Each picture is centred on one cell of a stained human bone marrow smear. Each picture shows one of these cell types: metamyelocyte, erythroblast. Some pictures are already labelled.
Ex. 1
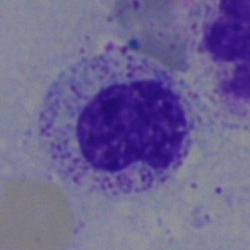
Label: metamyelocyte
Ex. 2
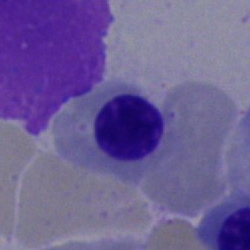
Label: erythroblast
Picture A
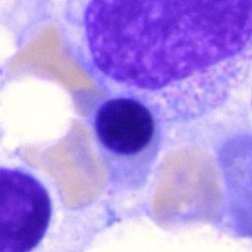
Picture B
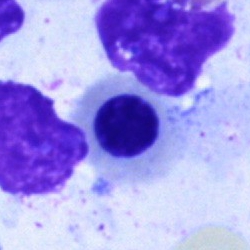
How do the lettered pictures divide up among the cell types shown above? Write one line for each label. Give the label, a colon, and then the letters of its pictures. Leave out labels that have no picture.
erythroblast: A, B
